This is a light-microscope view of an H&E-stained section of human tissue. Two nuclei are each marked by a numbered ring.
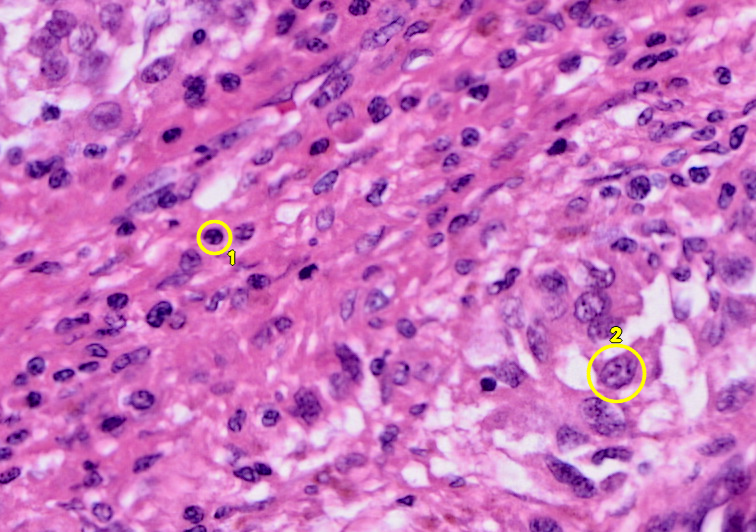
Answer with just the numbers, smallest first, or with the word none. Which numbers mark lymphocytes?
1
